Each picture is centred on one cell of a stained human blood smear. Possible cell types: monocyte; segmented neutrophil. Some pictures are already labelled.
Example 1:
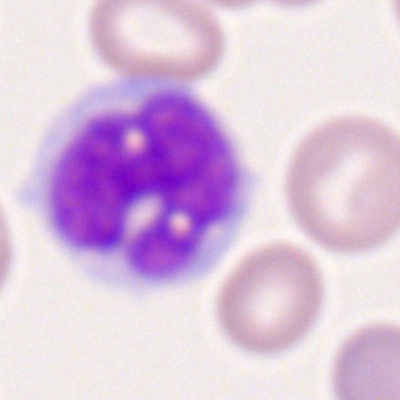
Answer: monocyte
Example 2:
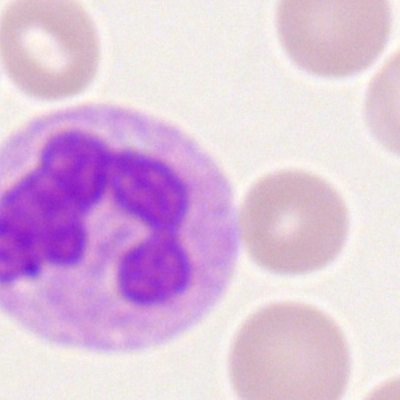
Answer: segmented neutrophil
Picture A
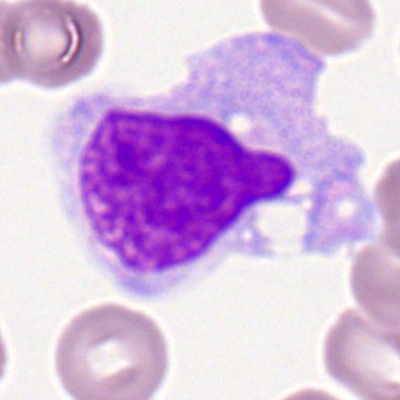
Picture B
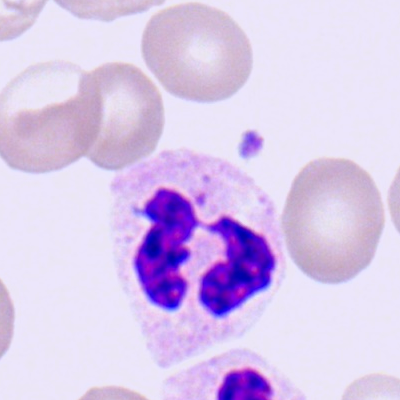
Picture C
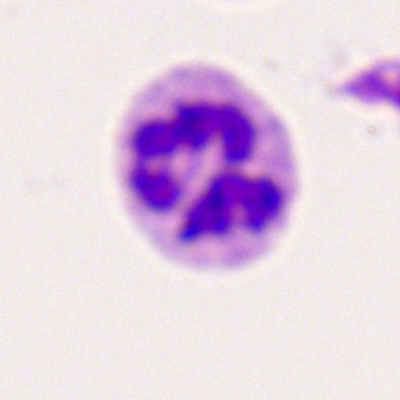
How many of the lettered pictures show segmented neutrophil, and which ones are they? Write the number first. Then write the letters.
2: B, C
